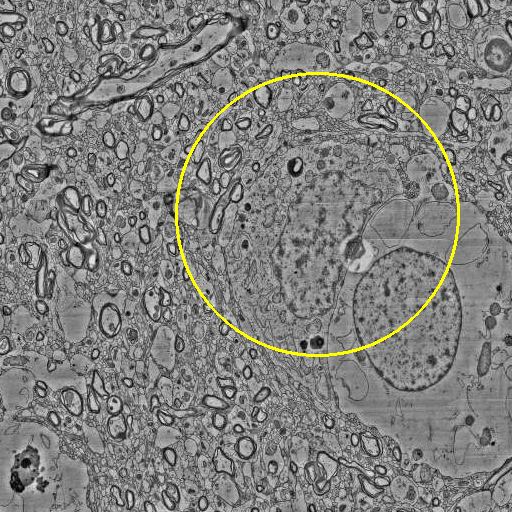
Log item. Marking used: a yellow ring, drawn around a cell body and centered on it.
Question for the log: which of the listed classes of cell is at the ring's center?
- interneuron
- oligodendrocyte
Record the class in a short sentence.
At the center of the ring lies an interneuron.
